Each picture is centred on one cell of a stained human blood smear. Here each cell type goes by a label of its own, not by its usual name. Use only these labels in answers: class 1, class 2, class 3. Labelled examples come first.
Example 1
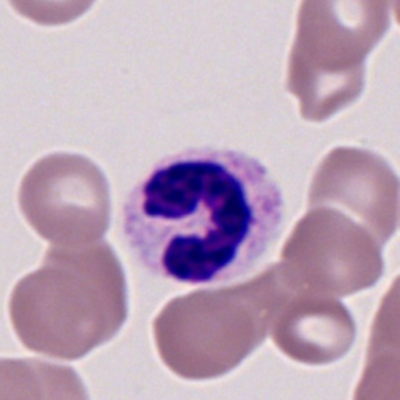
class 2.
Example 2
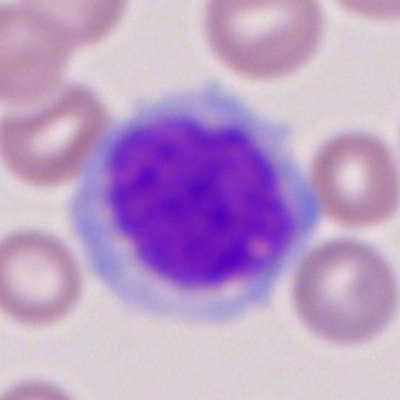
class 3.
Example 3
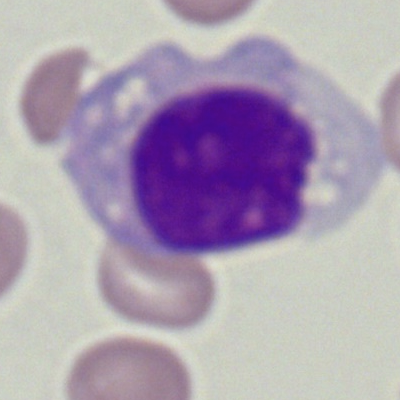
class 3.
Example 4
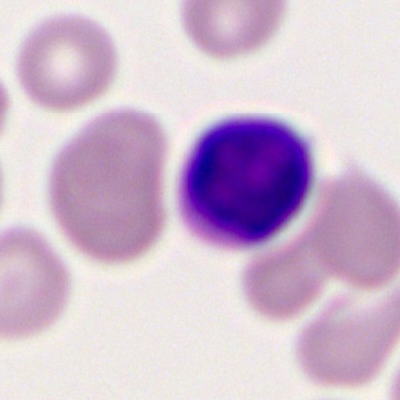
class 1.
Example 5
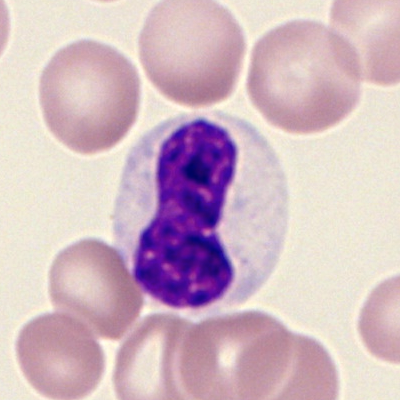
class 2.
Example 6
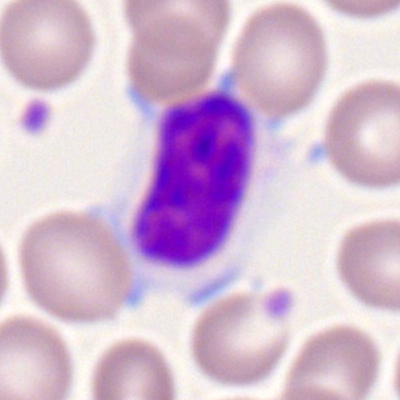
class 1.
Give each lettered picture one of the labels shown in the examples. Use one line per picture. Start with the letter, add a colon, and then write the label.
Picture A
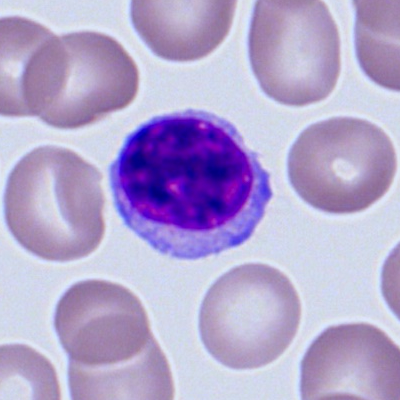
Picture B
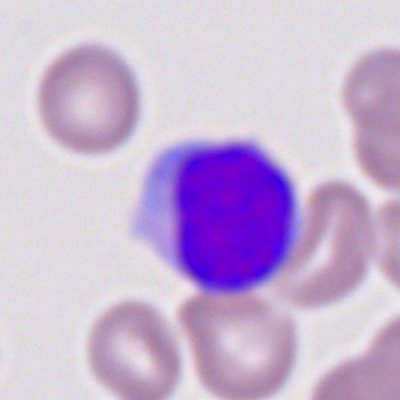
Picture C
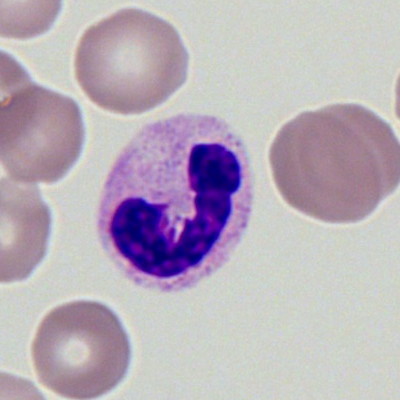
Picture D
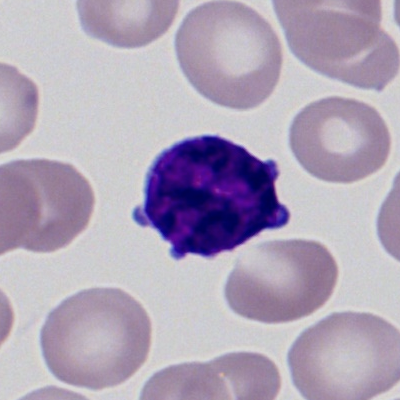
A: class 1.
B: class 1.
C: class 2.
D: class 1.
